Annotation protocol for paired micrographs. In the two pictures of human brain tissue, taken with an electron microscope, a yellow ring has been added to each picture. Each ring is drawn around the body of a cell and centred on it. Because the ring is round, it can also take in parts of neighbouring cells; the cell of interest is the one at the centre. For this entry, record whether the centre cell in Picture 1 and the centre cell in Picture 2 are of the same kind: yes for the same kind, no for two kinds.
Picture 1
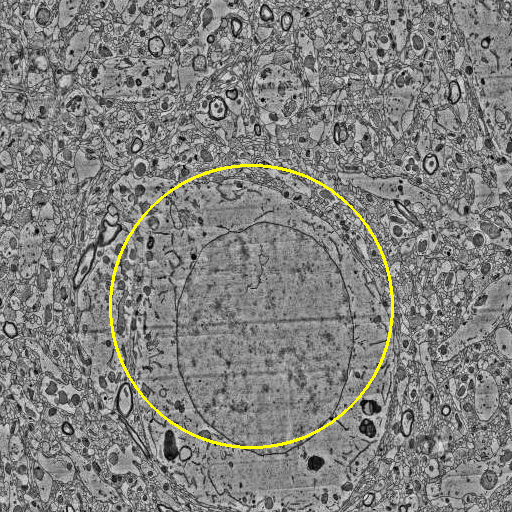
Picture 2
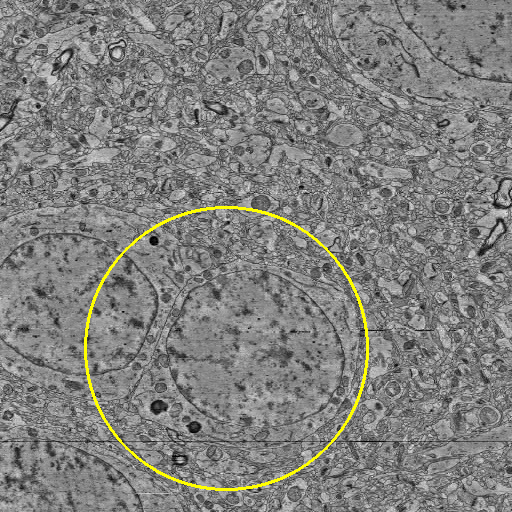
yes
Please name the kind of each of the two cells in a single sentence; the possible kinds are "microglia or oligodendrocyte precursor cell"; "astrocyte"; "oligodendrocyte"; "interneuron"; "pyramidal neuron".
Each of the two cells is a pyramidal neuron.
